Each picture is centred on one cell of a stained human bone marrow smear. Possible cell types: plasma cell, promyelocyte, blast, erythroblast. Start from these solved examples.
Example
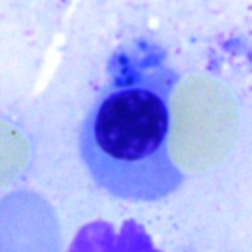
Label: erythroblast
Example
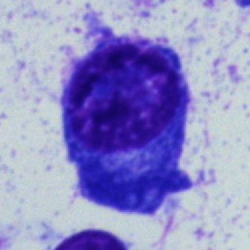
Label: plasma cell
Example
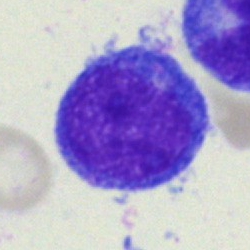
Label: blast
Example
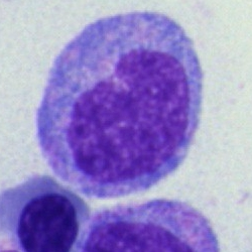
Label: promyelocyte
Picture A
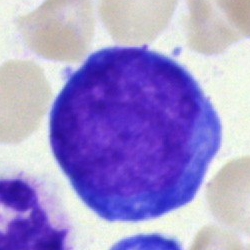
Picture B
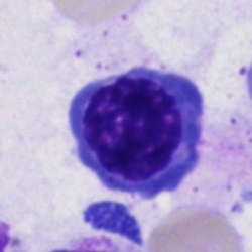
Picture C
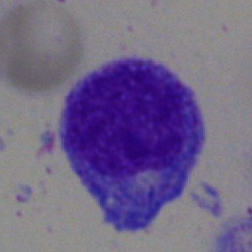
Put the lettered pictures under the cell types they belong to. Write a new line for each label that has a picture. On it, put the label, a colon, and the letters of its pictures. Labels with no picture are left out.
promyelocyte: C
blast: A
erythroblast: B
